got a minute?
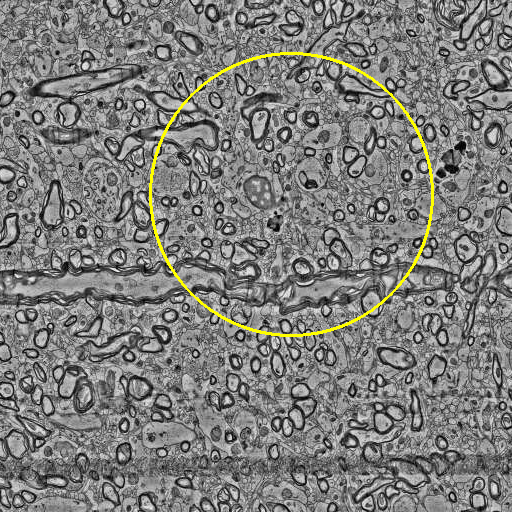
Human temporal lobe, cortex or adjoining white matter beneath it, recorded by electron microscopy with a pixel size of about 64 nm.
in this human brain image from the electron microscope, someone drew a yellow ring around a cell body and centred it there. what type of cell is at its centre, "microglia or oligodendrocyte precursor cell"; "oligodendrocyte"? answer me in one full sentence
It's a microglial cell or oligodendrocyte precursor cell at the middle of that yellow ring in the shot.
